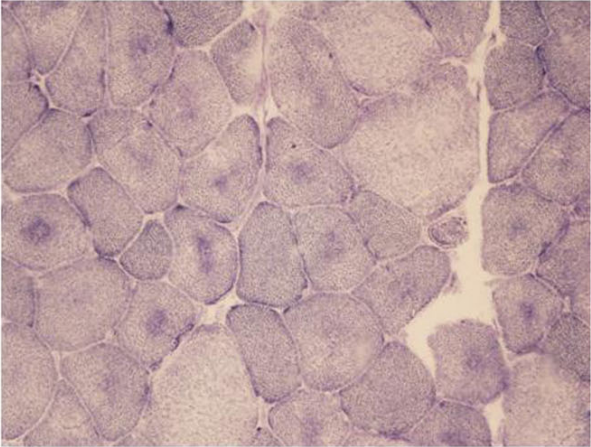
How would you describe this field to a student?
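This is skeletal muscle in cross-section stained in shades of purple, with tightly packed polygonal myofibers of varying size. The cytoplasm of the fibers has a fine granular purple texture. In a number of fibers the middle of the fiber is darker purple than the surrounding rim. Fibers differ somewhat in overall intensity, some paler and some more deeply stained. Narrow pale spaces separate the fibers, with a wider gap on one side of the field.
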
